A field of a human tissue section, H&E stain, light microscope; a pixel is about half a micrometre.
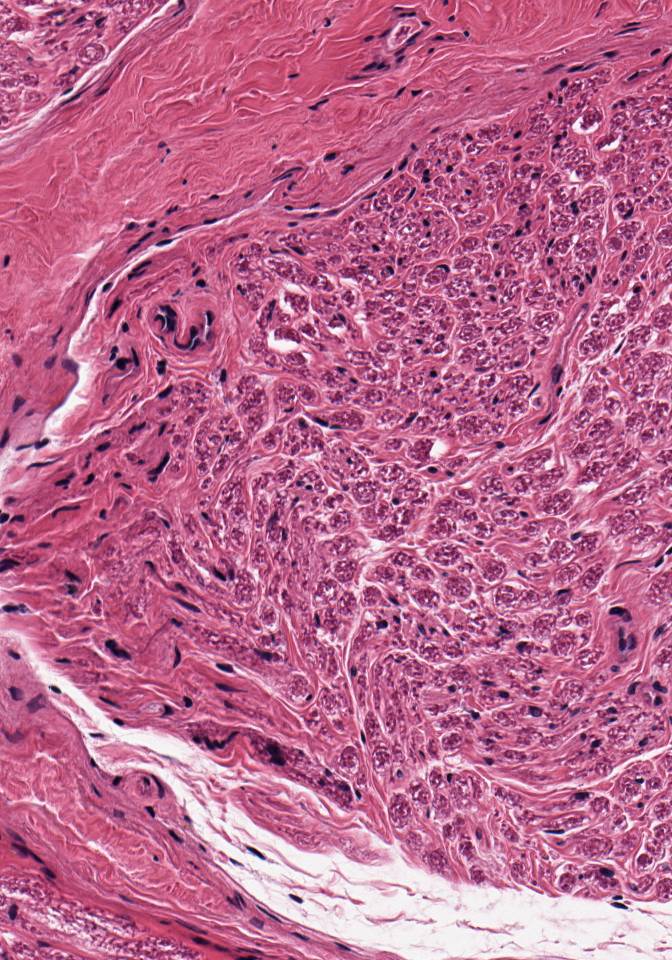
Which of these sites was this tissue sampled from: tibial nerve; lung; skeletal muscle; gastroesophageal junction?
tibial nerve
